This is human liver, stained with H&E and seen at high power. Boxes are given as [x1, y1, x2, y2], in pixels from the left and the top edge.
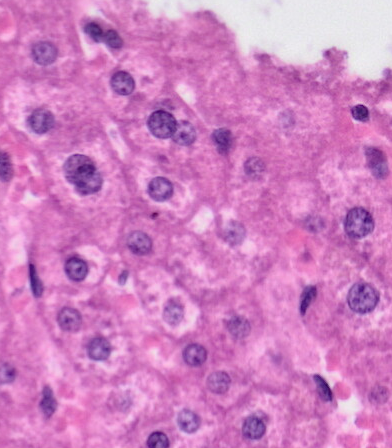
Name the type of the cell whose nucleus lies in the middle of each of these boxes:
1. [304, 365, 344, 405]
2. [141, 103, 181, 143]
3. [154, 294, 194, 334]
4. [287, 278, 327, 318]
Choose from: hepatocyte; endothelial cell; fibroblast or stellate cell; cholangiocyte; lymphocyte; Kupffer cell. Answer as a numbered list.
1. endothelial cell
2. hepatocyte
3. hepatocyte
4. fibroblast or stellate cell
